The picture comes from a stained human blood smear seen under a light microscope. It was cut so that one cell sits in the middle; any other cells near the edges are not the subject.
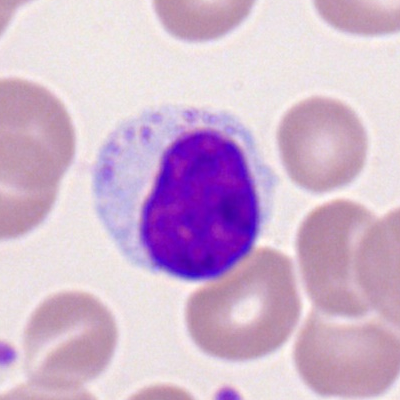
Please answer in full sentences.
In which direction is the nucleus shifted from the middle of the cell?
It is shifted toward the lower right of the cell.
